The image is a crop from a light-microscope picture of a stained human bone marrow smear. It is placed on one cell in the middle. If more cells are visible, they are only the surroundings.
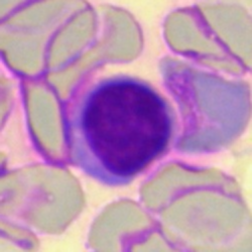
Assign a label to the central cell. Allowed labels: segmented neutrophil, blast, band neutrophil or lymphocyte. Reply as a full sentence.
The centered cell in this crop is a lymphocyte.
